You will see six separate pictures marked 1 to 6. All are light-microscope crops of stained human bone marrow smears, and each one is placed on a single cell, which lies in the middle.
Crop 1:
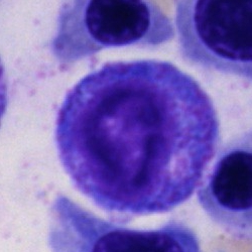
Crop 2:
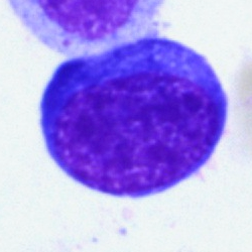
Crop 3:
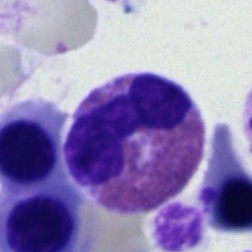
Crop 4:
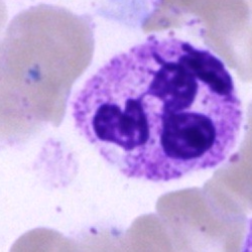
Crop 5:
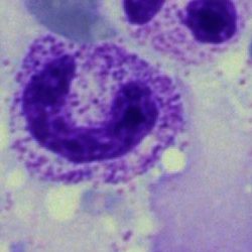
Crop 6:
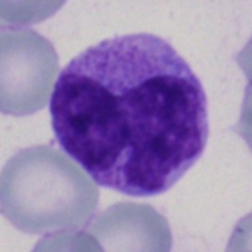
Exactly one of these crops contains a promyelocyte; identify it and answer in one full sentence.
The one that shows a promyelocyte is crop 1.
